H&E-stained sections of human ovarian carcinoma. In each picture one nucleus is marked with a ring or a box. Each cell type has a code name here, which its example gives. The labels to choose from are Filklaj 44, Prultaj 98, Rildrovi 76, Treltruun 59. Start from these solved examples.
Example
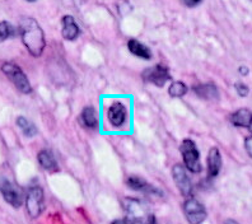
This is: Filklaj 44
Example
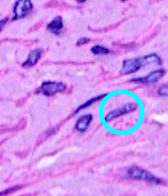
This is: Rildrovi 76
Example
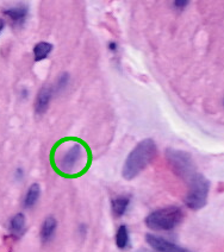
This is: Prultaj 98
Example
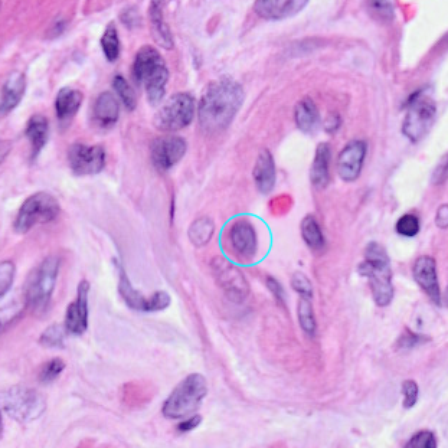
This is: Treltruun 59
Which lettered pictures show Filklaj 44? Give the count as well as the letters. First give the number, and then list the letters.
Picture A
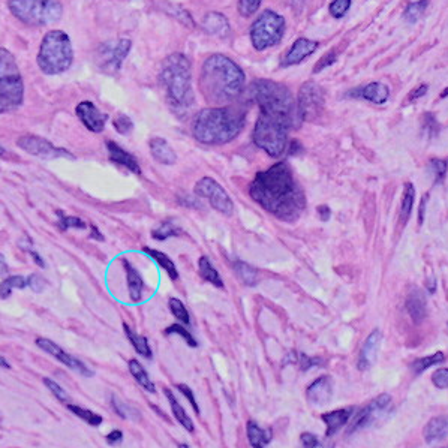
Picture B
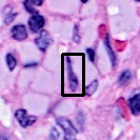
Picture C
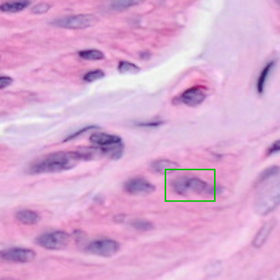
0, none of them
